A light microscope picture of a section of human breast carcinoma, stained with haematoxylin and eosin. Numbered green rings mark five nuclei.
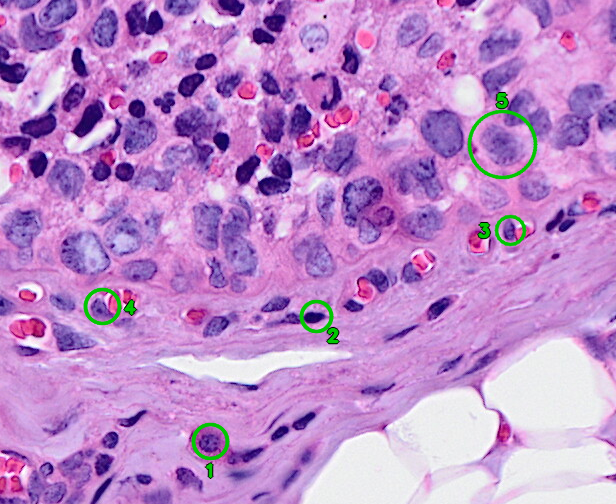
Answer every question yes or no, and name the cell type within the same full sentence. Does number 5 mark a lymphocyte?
No, the cell given number 5 is a carcinoma cell, as opposed to a lymphocyte.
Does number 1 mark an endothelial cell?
No, the cell bearing the number 1 is a mast cell, not an endothelial cell.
